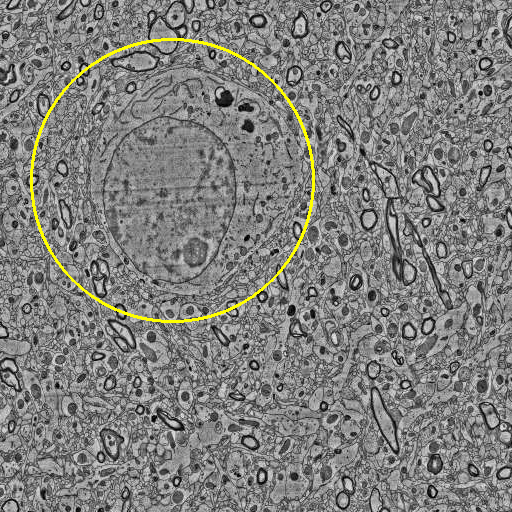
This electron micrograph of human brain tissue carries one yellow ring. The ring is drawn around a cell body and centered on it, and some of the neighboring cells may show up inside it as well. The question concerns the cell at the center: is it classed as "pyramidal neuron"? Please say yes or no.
Yes, it is classed that way.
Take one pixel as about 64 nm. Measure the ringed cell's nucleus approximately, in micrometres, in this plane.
About 11 micrometres by about 9 micrometres in this plane.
